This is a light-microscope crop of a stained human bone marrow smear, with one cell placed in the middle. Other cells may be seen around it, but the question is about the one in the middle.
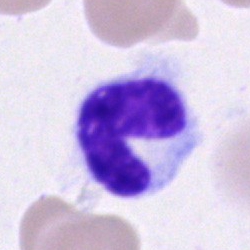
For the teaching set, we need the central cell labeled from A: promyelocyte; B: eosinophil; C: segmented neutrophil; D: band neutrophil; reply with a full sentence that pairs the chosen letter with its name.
Option D is the correct one; it names the central cell as a band neutrophil.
